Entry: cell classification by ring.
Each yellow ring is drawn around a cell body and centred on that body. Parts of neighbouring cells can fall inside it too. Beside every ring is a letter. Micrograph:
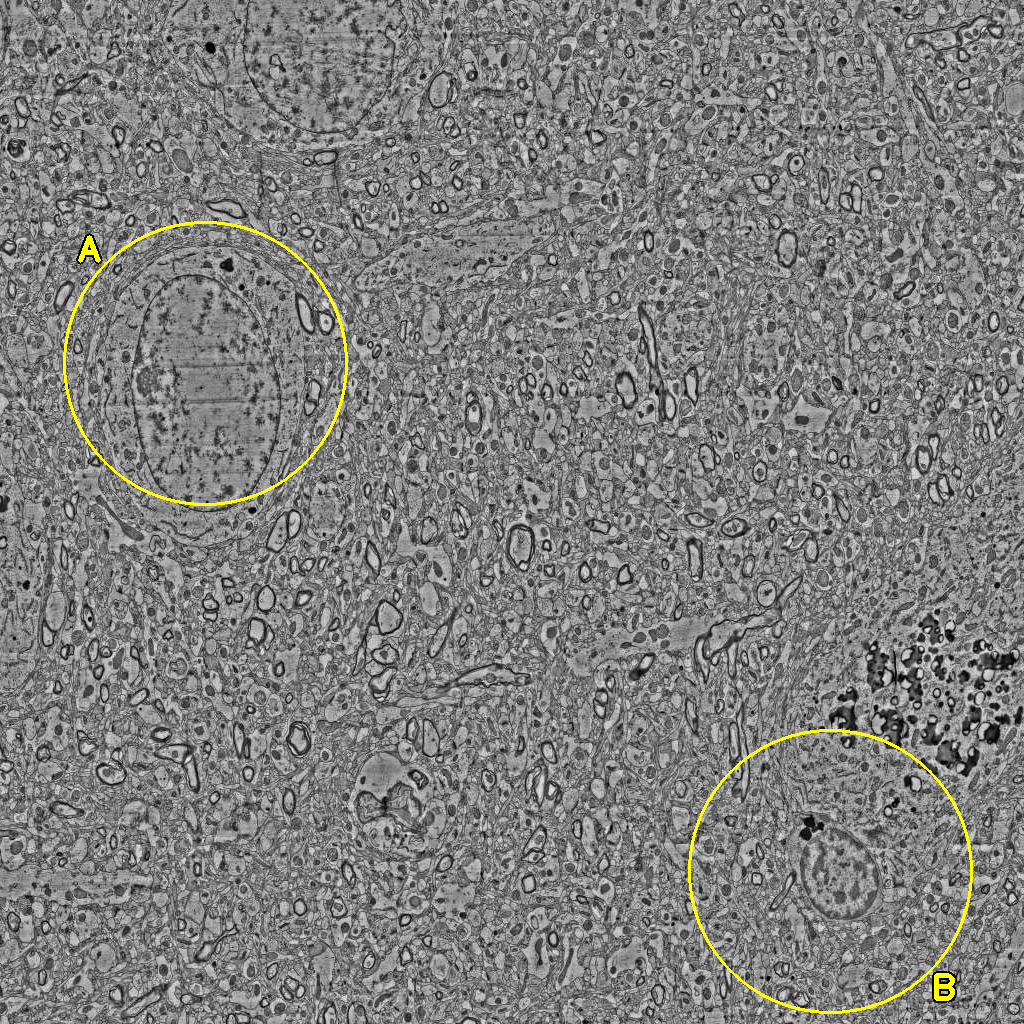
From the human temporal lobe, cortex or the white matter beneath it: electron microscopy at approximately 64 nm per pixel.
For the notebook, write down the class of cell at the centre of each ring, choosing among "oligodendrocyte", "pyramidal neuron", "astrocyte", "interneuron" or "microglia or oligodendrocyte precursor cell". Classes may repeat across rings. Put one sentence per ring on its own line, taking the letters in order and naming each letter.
Ring A marks a pyramidal neuron.
Ring B marks an oligodendrocyte.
